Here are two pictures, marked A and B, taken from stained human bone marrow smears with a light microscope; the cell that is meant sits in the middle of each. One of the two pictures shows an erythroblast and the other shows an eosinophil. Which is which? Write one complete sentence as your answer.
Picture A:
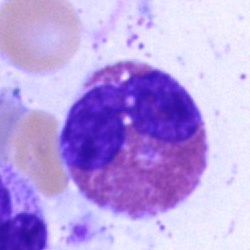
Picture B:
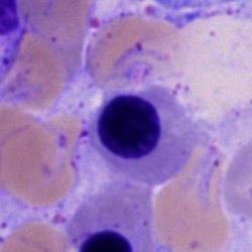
Picture B shows an erythroblast, while picture A shows an eosinophil.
